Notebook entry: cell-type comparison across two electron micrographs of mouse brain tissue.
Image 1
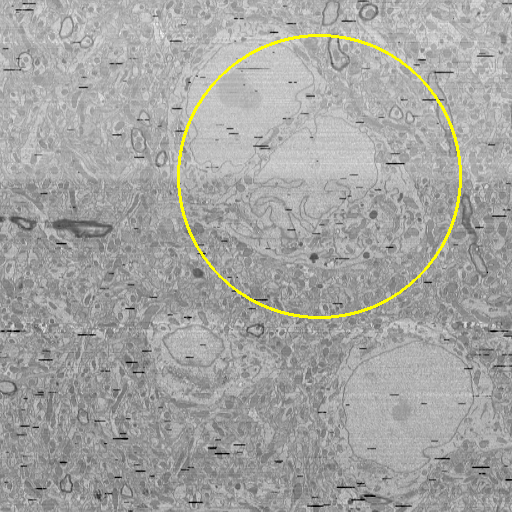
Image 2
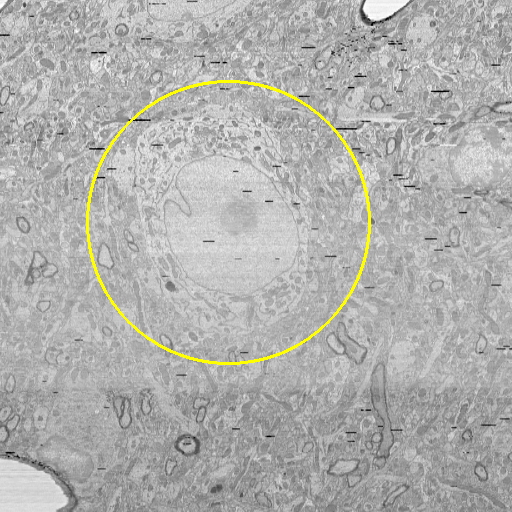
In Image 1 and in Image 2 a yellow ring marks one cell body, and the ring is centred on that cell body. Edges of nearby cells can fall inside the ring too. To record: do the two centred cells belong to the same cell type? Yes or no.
yes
